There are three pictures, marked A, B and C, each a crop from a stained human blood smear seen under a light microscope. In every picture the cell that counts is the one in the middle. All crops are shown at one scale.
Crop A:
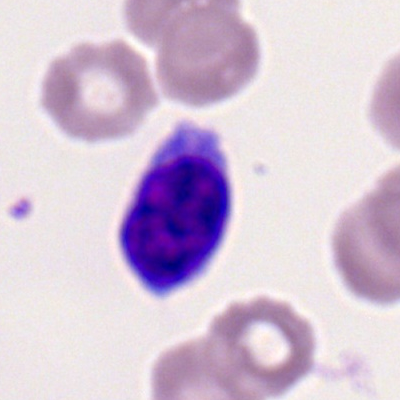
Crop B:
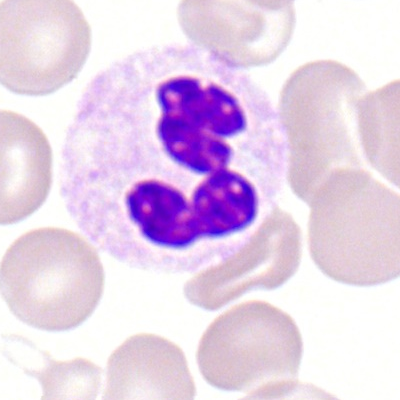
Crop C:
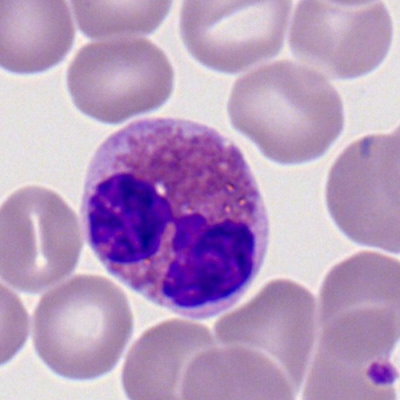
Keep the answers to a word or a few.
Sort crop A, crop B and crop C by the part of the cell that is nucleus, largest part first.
A, C, B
